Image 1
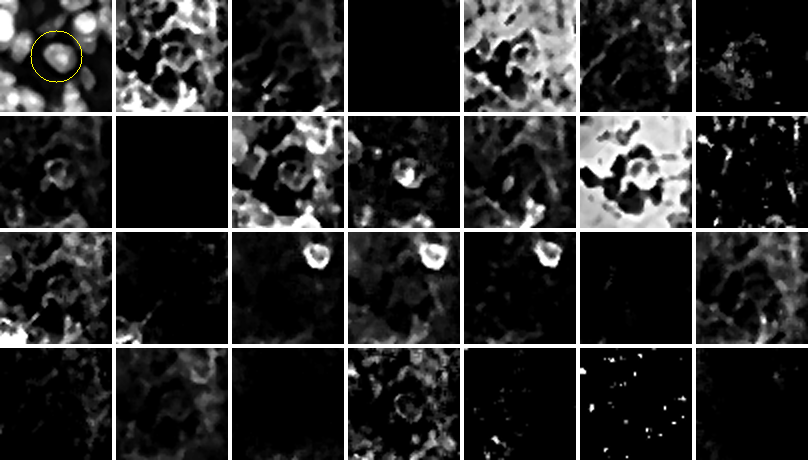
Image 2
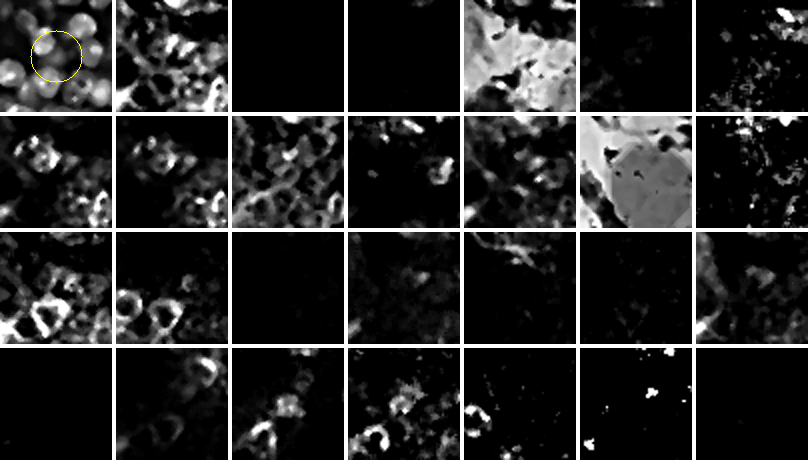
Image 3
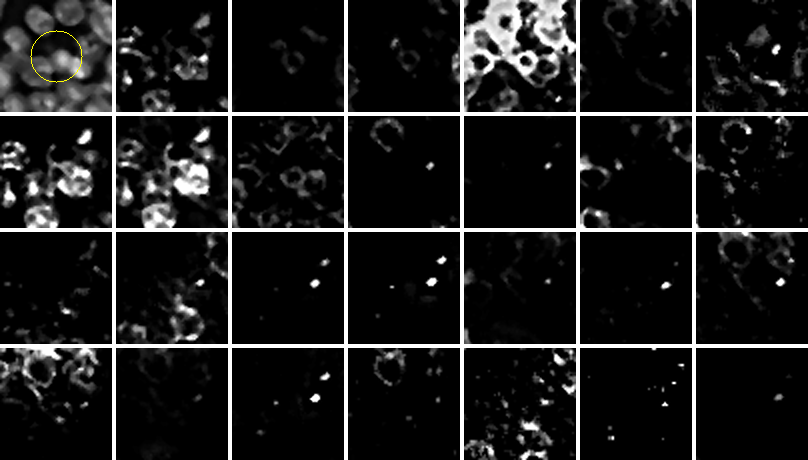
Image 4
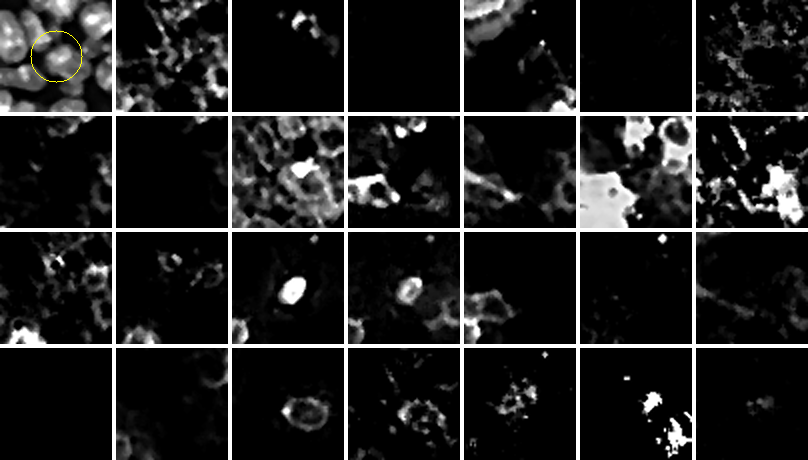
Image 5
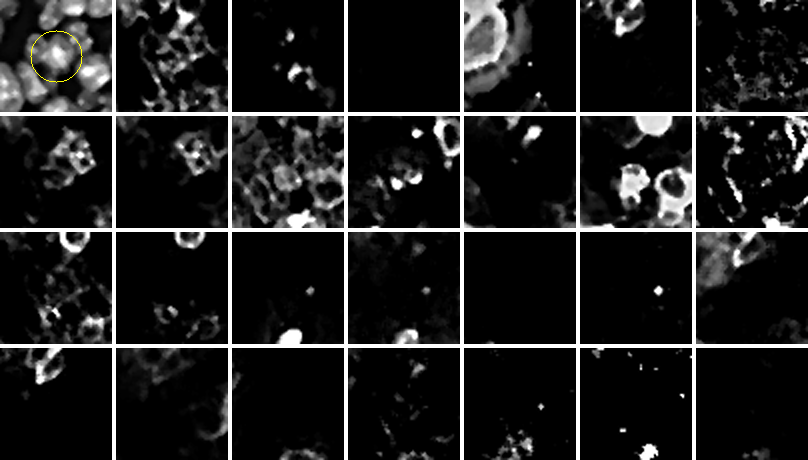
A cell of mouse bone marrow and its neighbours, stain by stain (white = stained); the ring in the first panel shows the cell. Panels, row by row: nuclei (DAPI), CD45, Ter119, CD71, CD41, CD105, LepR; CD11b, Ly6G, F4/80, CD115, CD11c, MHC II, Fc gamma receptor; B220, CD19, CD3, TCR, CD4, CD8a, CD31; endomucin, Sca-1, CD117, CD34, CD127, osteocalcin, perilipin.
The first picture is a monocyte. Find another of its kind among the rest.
Picture 5.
